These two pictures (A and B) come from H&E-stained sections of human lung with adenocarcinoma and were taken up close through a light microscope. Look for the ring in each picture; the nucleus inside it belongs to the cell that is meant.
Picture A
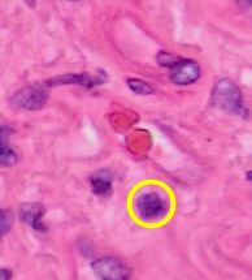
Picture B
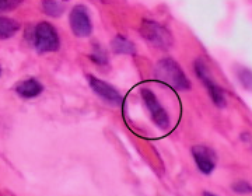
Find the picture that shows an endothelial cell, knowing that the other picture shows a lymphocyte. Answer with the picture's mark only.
B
